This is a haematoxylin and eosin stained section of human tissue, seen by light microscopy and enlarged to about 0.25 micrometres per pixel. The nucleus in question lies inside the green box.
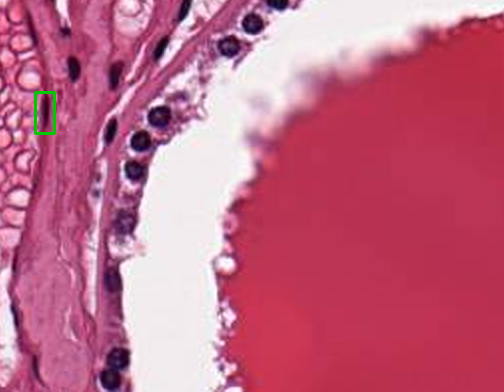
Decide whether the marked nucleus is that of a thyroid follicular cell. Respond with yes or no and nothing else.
no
